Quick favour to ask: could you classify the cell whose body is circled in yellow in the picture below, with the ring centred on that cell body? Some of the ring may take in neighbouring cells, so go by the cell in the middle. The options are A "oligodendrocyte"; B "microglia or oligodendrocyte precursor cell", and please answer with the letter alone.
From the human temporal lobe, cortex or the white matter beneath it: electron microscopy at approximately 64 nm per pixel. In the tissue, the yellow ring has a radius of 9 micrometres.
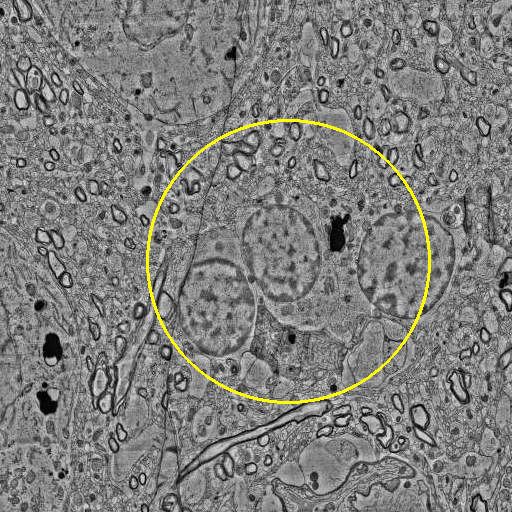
A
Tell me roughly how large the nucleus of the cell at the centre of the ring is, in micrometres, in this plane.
Approximately 6 x 5 micrometres in this plane.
